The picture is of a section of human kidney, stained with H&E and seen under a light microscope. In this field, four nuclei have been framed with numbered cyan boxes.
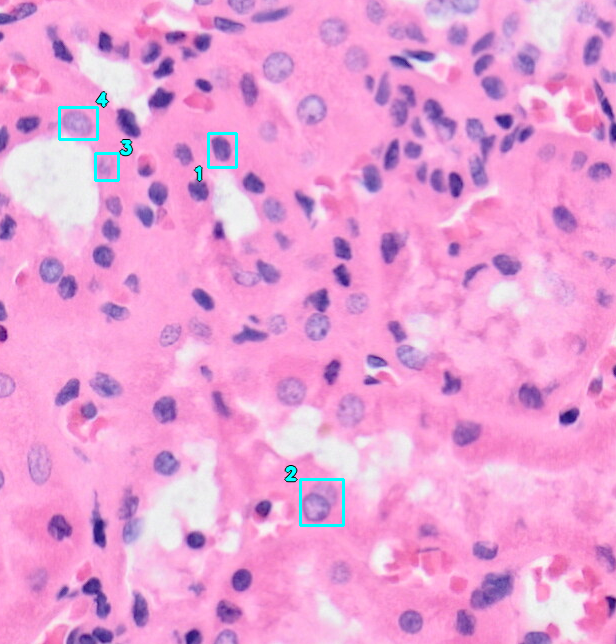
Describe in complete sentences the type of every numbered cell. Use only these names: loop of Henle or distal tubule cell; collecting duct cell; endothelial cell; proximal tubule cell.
Cells 1, 3 and 4 are loop of Henle or distal tubule cells. Cell 2 is a proximal tubule cell.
